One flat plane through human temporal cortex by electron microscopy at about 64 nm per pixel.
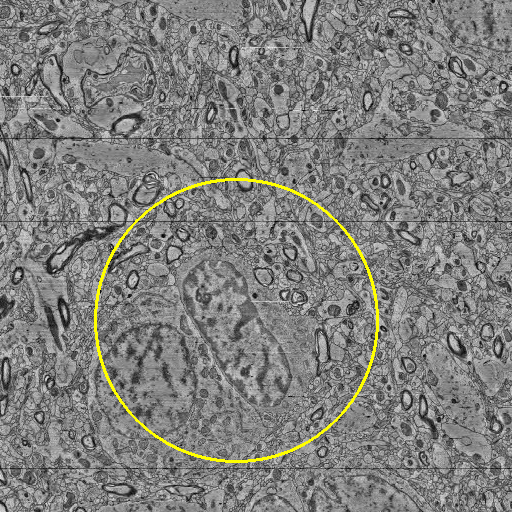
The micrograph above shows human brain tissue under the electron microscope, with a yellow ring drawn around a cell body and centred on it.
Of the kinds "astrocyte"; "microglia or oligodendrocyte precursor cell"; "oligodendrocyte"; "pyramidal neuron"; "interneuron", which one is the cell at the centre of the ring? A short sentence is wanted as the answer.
The one at the centre of the ring is an oligodendrocyte.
